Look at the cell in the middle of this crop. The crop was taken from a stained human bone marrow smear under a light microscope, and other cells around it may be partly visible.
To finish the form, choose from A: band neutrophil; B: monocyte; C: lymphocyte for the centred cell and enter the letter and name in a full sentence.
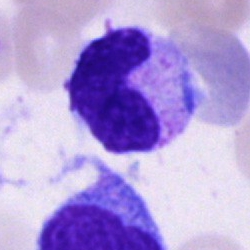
In this crop the central cell is a band neutrophil, which option A correctly states.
